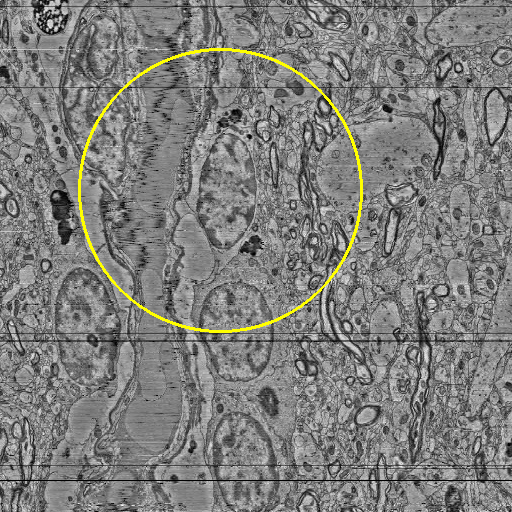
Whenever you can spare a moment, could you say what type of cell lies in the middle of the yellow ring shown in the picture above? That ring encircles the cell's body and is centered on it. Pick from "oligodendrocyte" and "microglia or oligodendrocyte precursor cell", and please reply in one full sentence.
The cell whose body sits at the middle of the yellow ring is a microglial cell or oligodendrocyte precursor cell.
